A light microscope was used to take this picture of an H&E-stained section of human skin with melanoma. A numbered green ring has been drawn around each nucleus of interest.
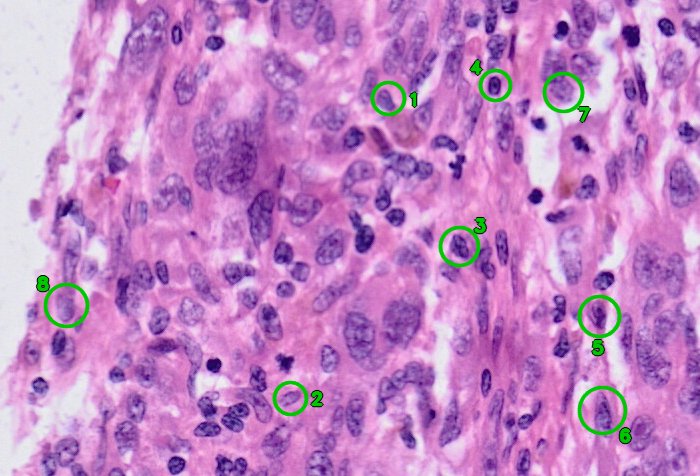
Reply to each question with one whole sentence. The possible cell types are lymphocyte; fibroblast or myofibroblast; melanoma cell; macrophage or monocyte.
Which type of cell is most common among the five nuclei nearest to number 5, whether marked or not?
Lymphocytes account for more than half of the five nuclei nearest to number 5.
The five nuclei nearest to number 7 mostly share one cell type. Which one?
Of the five nuclei nearest to number 7, most belong to melanoma cells.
